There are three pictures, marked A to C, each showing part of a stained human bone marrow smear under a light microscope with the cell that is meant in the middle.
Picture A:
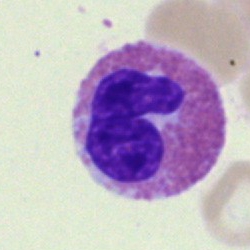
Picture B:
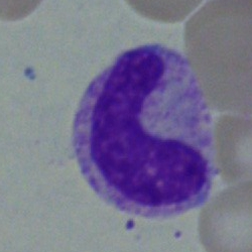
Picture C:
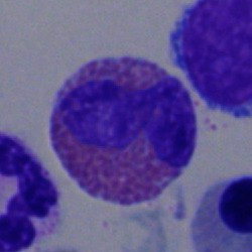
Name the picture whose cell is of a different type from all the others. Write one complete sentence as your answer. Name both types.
The others show eosinophils, but picture B shows a band neutrophil.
